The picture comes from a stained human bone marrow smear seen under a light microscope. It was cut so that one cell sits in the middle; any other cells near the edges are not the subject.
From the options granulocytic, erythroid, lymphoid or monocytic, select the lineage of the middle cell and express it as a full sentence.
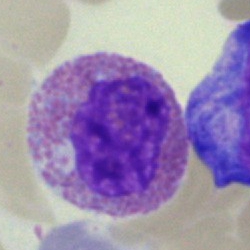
Regarding the central cell, its lineage is granulocytic.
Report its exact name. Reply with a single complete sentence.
Standing at the centre of this crop is an eosinophil.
